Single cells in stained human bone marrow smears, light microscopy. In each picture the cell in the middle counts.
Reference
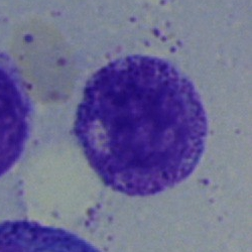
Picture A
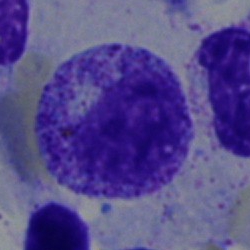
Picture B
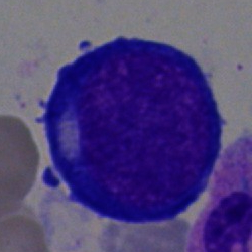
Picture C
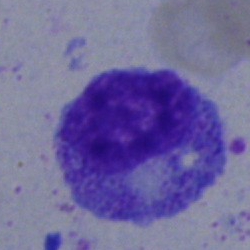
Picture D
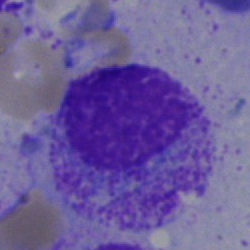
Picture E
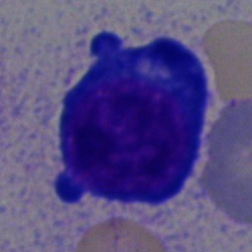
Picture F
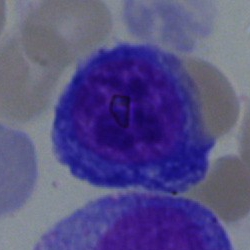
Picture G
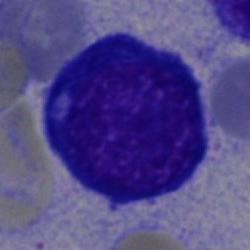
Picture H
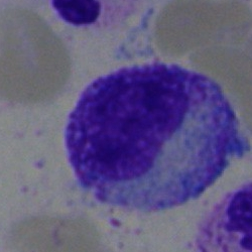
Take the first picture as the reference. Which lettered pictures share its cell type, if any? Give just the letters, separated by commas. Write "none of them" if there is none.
A, C, D, H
